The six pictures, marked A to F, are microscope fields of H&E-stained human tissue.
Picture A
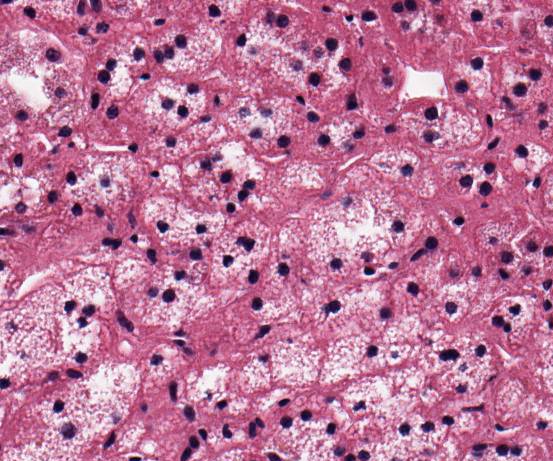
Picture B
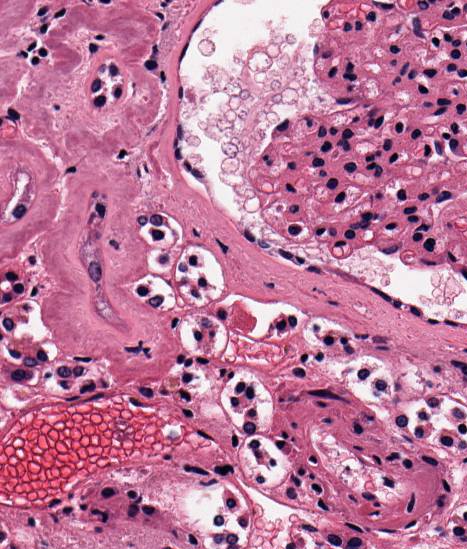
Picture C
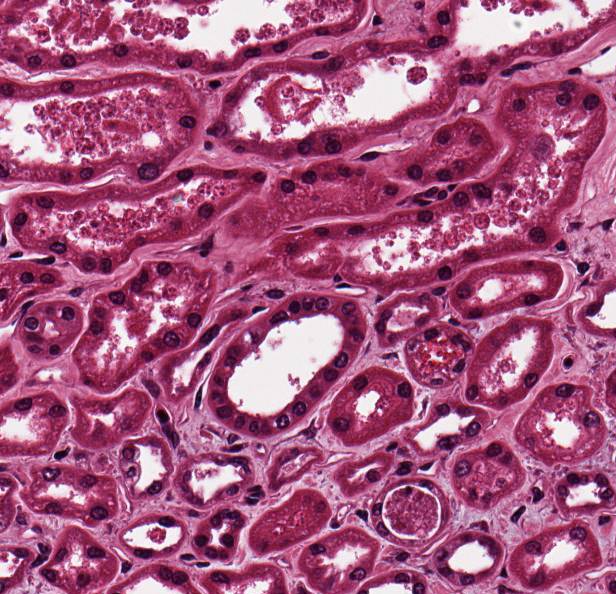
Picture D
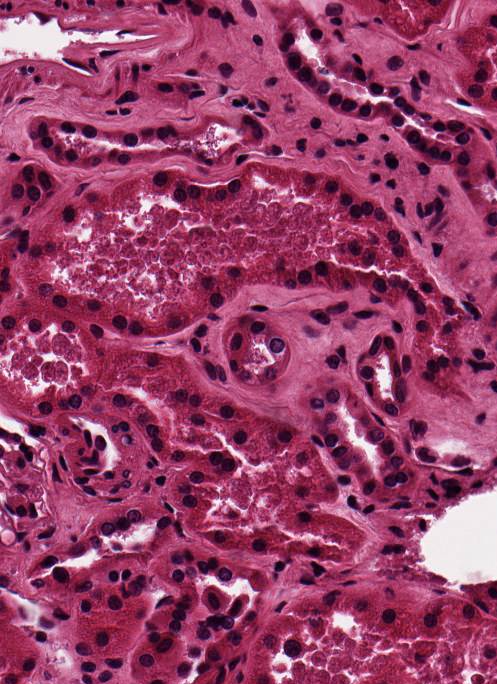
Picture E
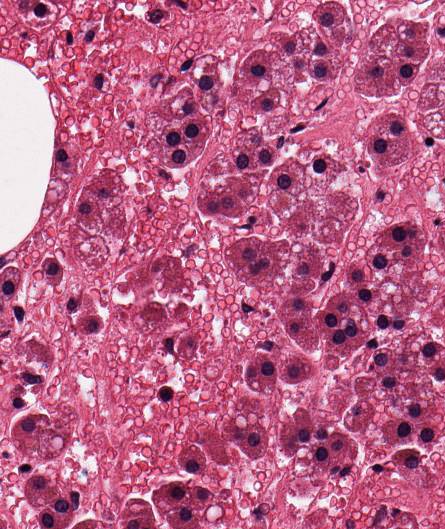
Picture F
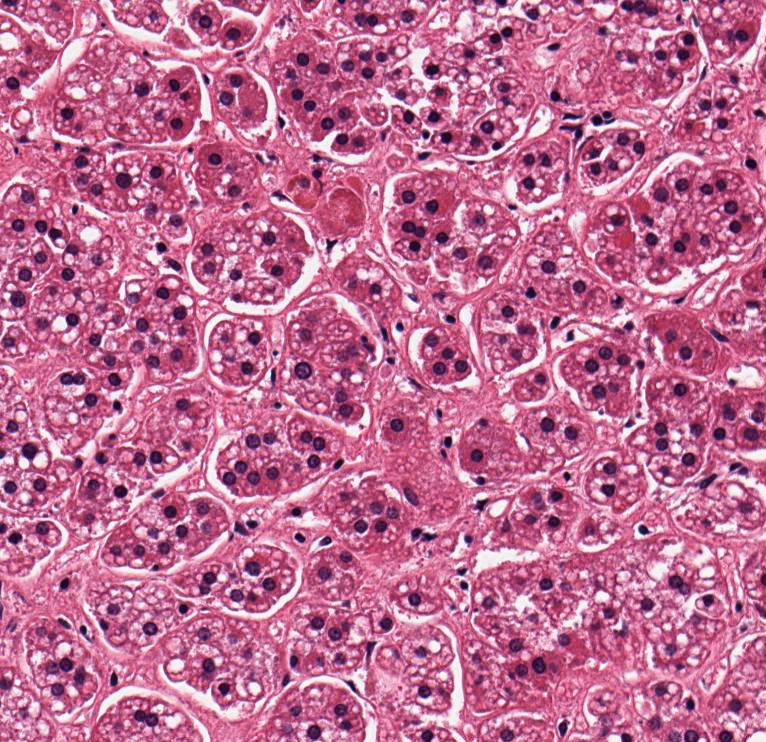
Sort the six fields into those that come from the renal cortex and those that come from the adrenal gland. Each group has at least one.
A: adrenal gland
B: renal cortex
C: renal cortex
D: renal cortex
E: adrenal gland
F: adrenal gland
